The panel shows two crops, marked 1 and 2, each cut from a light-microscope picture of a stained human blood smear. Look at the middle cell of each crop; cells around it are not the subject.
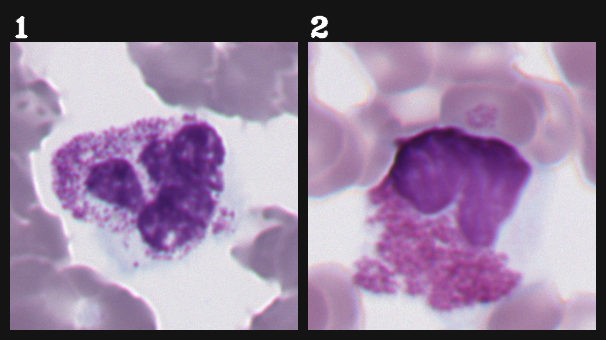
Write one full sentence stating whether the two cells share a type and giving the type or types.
No, crop 1 features a segmented neutrophil, and crop 2 features an eosinophil.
